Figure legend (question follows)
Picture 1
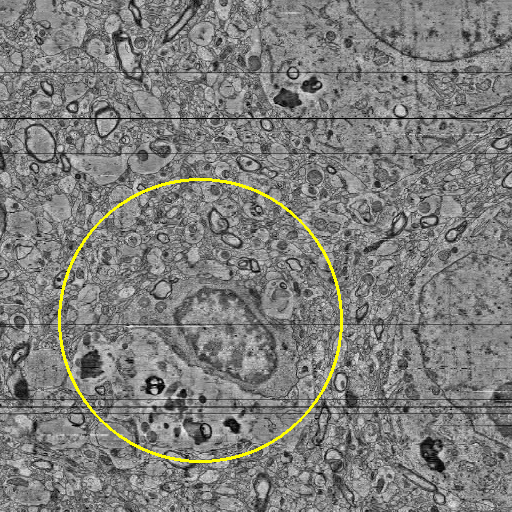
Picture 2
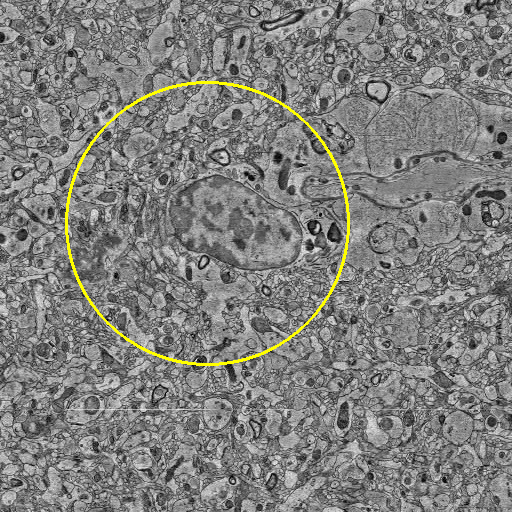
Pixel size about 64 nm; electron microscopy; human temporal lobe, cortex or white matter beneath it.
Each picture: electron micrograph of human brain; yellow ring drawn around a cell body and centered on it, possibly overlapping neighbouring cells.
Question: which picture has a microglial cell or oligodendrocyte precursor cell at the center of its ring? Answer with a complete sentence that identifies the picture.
Picture 2 has it at the center of its ring.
